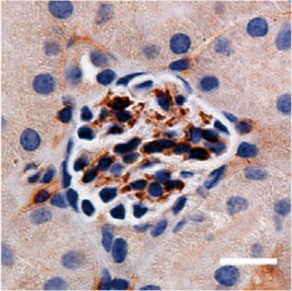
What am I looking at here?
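A renal glomerulus is seen as a compact, rounded tuft of capillary loops with brown-stained linings and many crowded blue nuclei. A narrow pale space separates the tuft from the surrounding tubules. The neighbouring tubular epithelial cells have round blue nuclei in pale cytoplasm, with only fine brown-lined capillaries between them and no widened vessels around the glomerulus.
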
